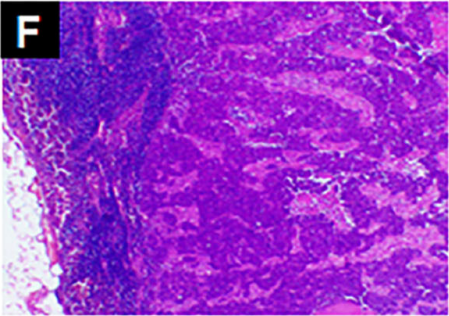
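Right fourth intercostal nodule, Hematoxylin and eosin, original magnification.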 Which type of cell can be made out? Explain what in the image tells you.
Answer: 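A dense band of small dark-blue lymphoid cells lies along the left side. Most of the field is taken up by purple-staining nests and cords of larger tumour cells. The tumour tissue lies beside the lymphoid tissue. On this evidence: cancer cells.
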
